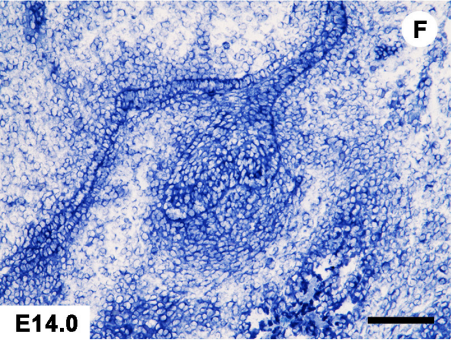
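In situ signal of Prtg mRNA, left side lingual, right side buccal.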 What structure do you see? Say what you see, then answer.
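Enamel organ. An epithelial stalk descends from a surface epithelial layer into the underlying tissue. The stalk ends in a rounded, densely packed epithelial mass surrounded by mesenchyme.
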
